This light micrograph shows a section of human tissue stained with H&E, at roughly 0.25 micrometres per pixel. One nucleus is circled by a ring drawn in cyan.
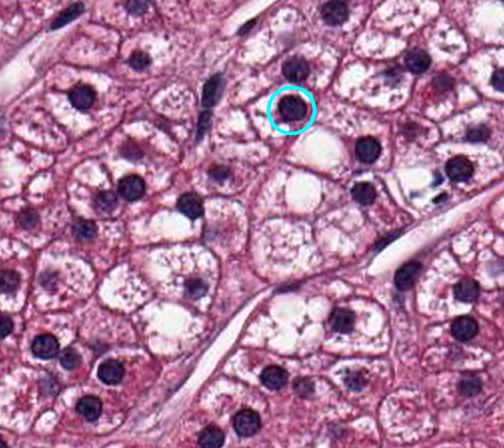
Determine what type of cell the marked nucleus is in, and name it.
adrenal cortical cell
